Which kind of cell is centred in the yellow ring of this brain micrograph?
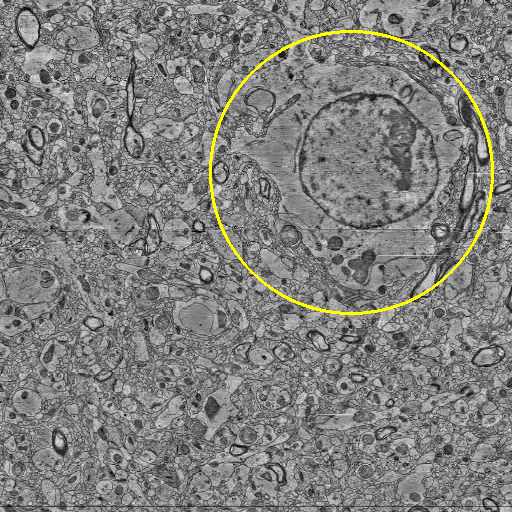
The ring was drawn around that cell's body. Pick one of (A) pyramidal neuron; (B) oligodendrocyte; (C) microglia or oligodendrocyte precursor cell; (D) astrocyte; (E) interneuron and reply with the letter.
D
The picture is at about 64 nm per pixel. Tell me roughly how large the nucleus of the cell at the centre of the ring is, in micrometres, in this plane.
About 9 micrometers across, in this plane.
